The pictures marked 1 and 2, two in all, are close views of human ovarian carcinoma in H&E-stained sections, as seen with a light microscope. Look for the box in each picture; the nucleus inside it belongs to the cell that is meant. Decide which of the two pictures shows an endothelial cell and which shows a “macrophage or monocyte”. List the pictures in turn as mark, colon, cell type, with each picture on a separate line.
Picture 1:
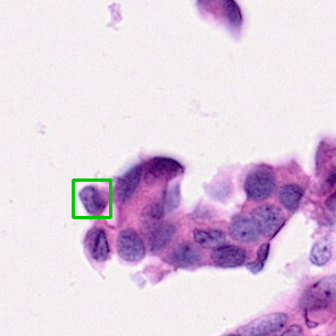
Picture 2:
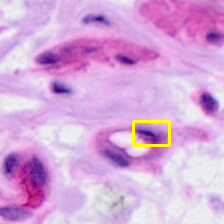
1: macrophage or monocyte
2: endothelial cell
